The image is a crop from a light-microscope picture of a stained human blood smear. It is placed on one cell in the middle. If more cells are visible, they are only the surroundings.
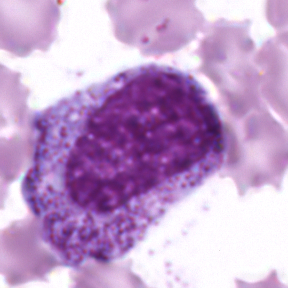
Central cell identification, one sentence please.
In the centre of this crop there is a myelocyte.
